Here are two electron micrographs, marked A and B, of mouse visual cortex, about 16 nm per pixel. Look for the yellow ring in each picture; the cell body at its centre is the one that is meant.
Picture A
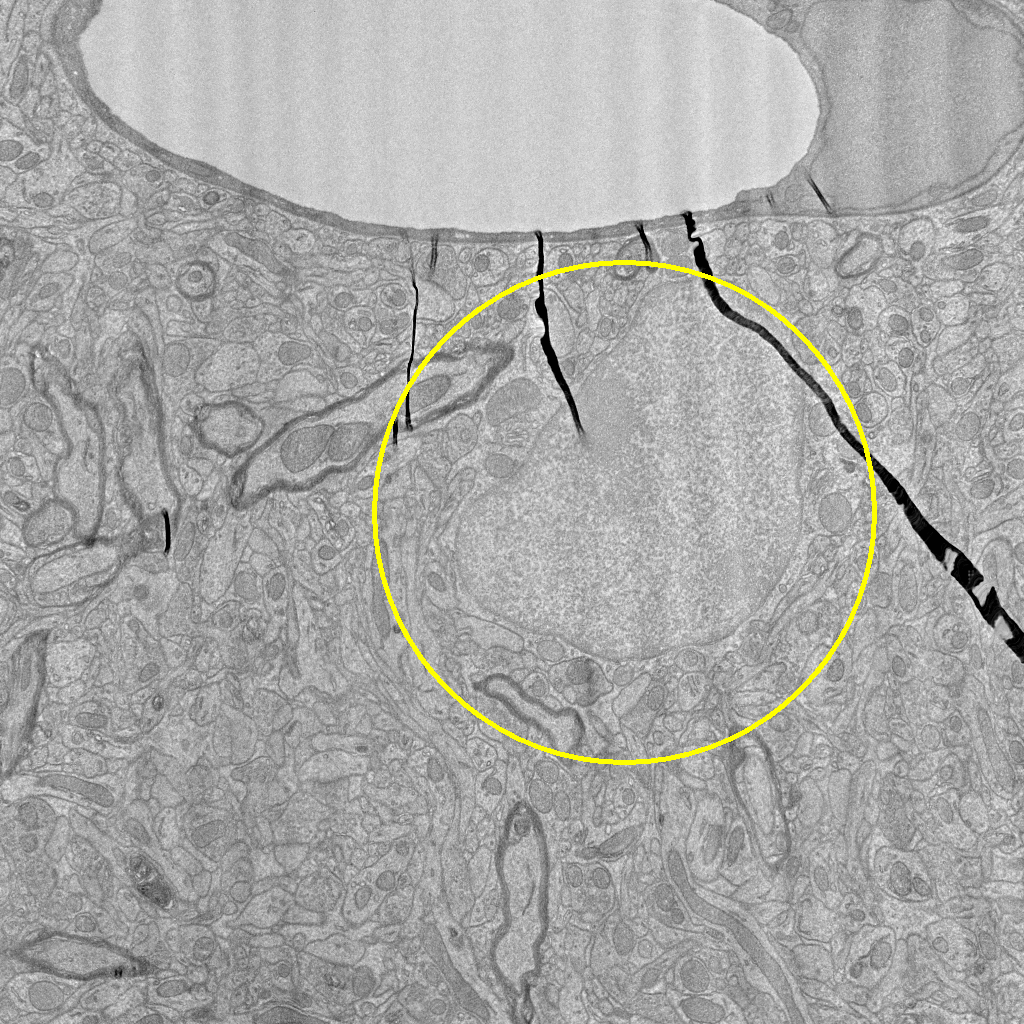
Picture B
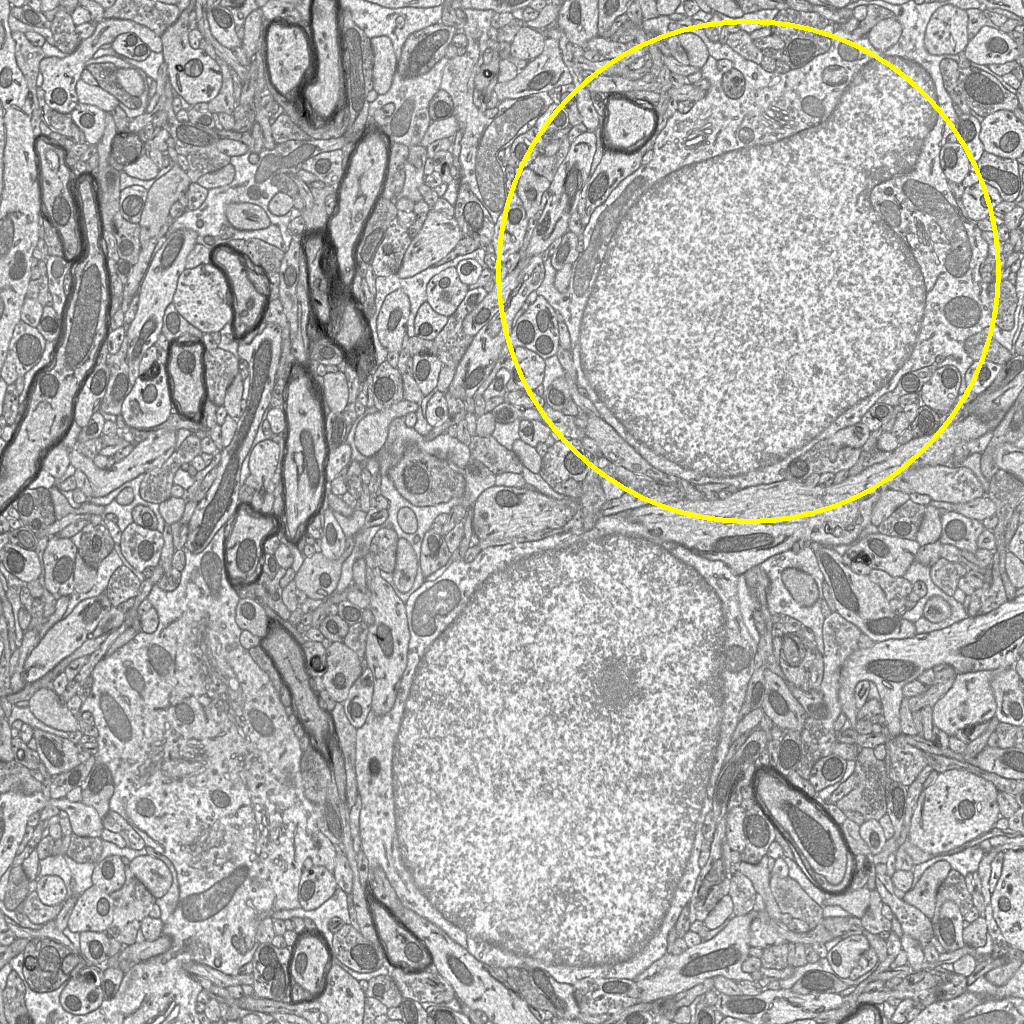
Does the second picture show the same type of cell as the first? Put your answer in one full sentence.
Yes, both are astrocytes.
